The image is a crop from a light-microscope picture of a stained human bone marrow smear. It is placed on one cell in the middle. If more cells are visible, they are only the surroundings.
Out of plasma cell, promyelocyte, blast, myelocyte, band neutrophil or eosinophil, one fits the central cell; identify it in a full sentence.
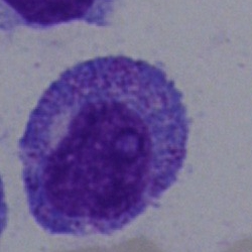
The cell at the heart of this crop is a promyelocyte.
